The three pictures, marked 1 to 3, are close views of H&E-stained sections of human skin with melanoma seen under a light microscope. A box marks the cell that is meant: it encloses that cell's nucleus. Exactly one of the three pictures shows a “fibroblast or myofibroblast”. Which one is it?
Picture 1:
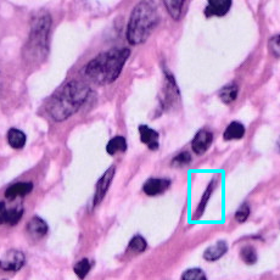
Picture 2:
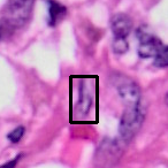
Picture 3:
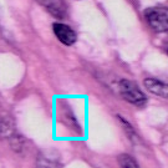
1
